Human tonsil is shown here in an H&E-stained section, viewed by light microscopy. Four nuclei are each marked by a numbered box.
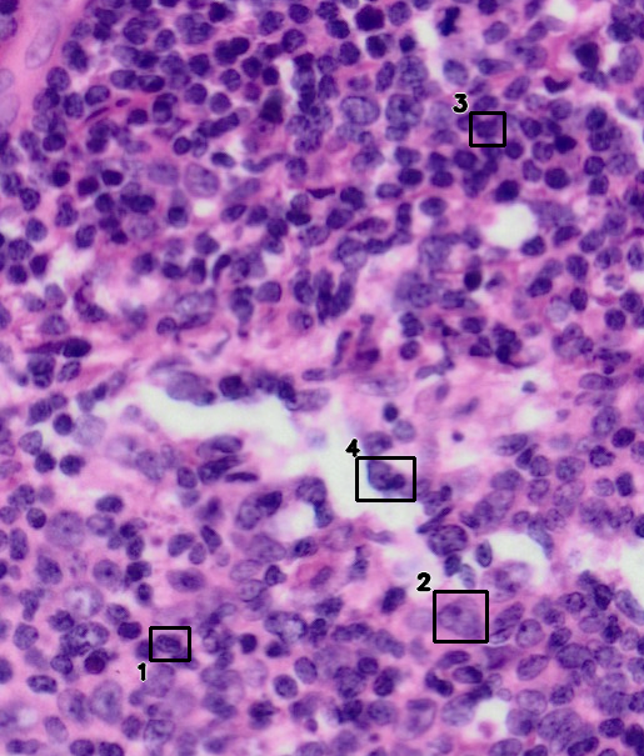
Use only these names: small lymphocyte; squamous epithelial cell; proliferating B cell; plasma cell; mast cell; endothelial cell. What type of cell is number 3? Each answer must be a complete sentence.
In this section, the cell numbered 3 is a small lymphocyte.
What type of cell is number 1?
Denoted by the label 1 in the section is a proliferating B cell.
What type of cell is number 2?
The cell numbered 2 represents a proliferating B cell.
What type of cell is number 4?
Belonging to a proliferating B cell is the nucleus that carries the number 4.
